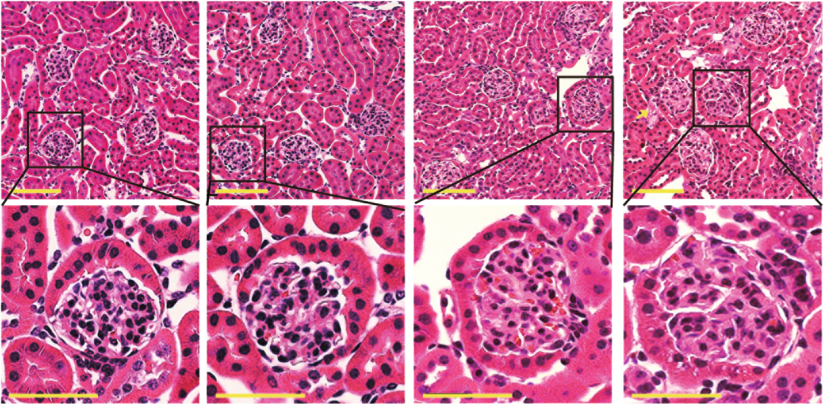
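Kidney cortex in which round glomeruli lie scattered among closely packed tubules whose cells have pink cytoplasm and dark round nuclei. In the enlarged views each glomerulus is a compact tuft of capillary loops with many dark purple nuclei, some loops holding red blood cells, surrounded by a thin capsule and a narrow clear space.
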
